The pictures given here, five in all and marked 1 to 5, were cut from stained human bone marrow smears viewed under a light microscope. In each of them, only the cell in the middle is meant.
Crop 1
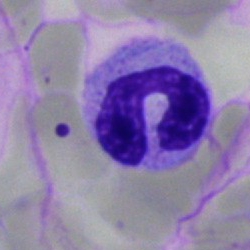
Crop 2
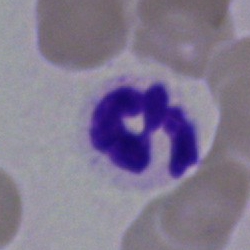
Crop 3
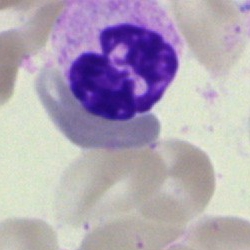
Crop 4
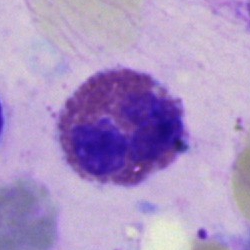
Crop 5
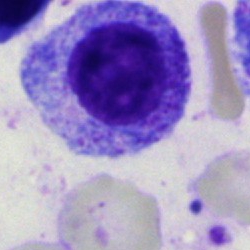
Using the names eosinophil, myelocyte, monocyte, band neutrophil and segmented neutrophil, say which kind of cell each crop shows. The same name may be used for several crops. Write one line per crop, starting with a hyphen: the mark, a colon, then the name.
- 1: band neutrophil
- 2: segmented neutrophil
- 3: segmented neutrophil
- 4: eosinophil
- 5: myelocyte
